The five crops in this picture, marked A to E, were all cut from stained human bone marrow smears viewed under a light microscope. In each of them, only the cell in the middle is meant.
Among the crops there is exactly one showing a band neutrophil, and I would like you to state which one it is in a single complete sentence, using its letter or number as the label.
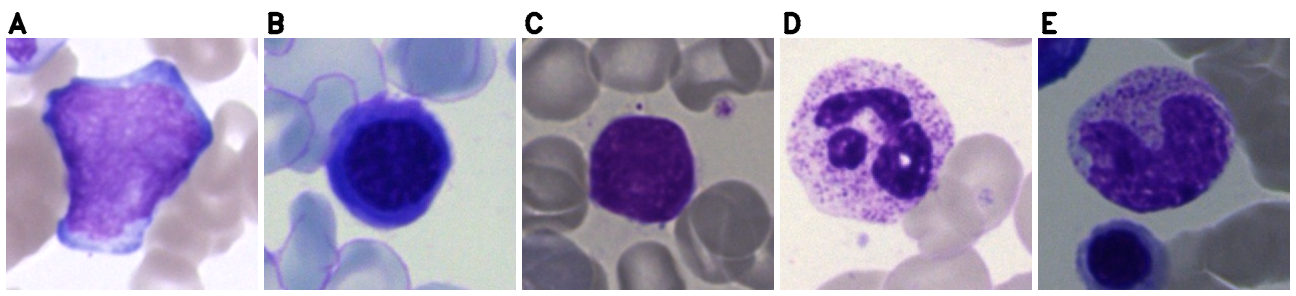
Of the labelled crops, the one that shows a band neutrophil is crop E.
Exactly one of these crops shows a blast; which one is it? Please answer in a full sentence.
It is in crop A that a blast is shown.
